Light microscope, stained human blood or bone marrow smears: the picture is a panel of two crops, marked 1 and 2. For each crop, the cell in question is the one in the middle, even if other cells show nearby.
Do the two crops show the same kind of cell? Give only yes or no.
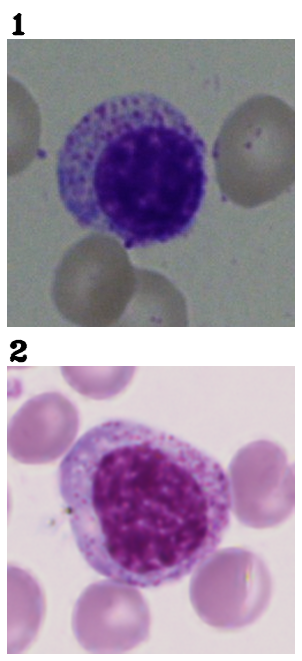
yes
